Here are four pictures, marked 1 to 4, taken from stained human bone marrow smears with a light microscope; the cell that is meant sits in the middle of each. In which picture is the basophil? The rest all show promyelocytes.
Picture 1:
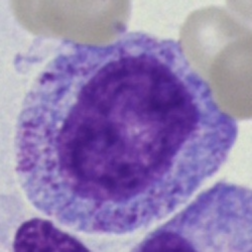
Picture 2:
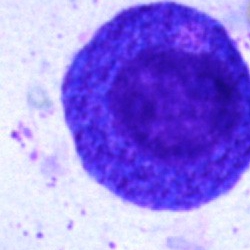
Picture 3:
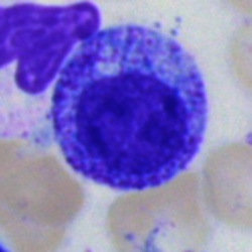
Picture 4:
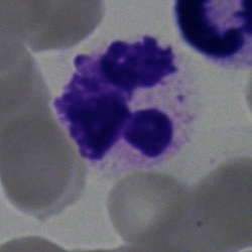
4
